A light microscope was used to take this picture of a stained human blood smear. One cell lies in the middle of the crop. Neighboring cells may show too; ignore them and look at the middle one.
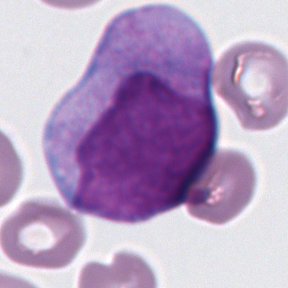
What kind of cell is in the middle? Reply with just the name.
atypical promyelocyte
